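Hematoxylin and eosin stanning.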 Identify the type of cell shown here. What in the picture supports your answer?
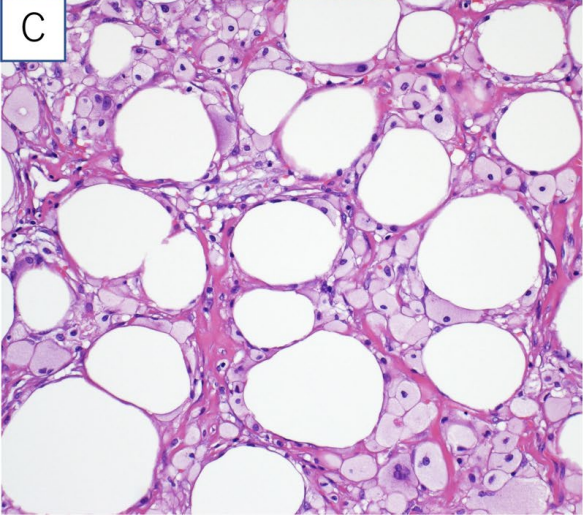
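Lipophage. Many cells with abundant pale, finely vacuolated cytoplasm lie between the fat vacuoles. These cells have small round central nuclei. They crowd around the large empty fat spaces.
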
